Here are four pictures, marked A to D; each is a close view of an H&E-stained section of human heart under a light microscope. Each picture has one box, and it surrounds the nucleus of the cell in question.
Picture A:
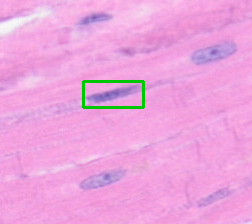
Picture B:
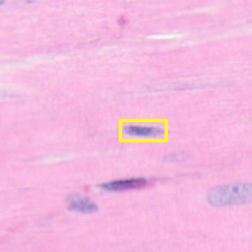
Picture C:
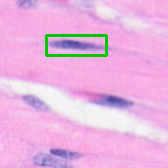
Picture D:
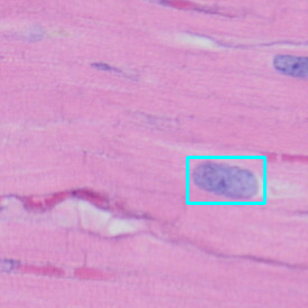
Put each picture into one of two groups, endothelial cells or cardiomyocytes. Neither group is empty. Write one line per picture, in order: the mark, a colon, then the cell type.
A: endothelial cell
B: endothelial cell
C: endothelial cell
D: cardiomyocyte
